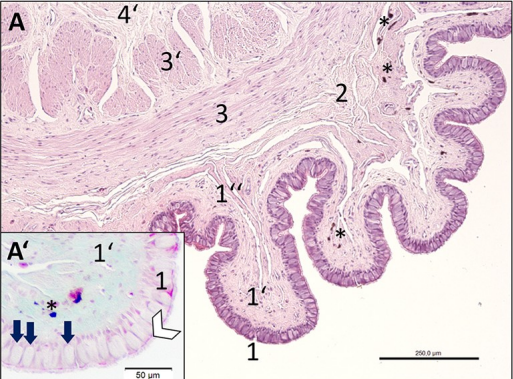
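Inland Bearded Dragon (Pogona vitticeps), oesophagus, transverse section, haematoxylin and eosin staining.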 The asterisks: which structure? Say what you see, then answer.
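Small dark black-brown granular clusters lie next to each asterisk. The clusters sit in the pale connective tissue beneath the folded epithelium. So: black pigments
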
